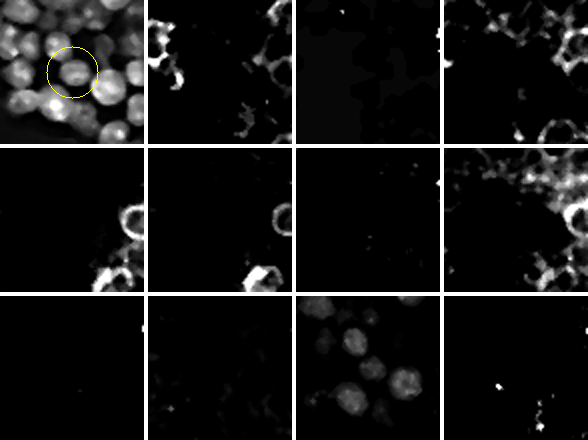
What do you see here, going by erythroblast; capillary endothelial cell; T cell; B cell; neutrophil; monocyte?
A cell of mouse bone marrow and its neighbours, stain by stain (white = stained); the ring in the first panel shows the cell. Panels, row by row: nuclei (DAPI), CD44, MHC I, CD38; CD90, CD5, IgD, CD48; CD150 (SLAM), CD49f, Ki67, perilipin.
I see an erythroblast.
